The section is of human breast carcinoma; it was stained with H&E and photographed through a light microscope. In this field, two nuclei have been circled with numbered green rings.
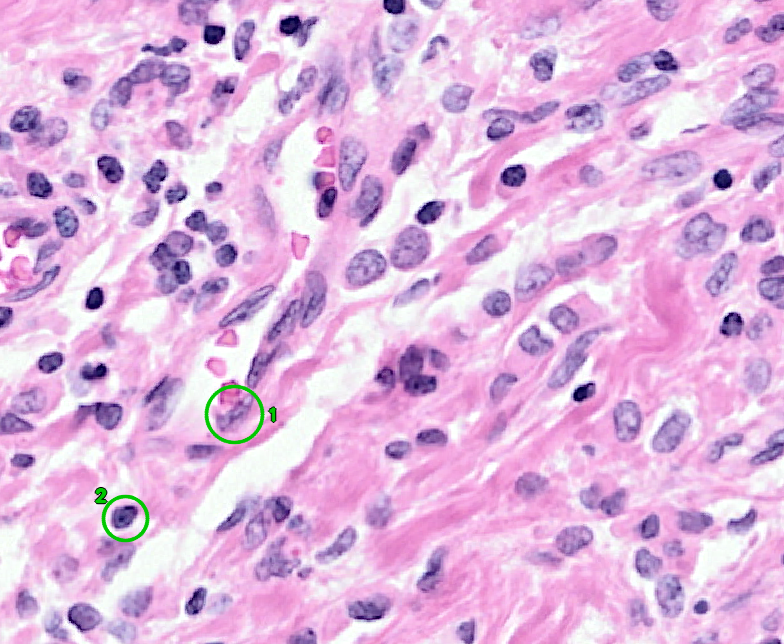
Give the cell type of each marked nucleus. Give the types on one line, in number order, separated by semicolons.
endothelial cell; lymphocyte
